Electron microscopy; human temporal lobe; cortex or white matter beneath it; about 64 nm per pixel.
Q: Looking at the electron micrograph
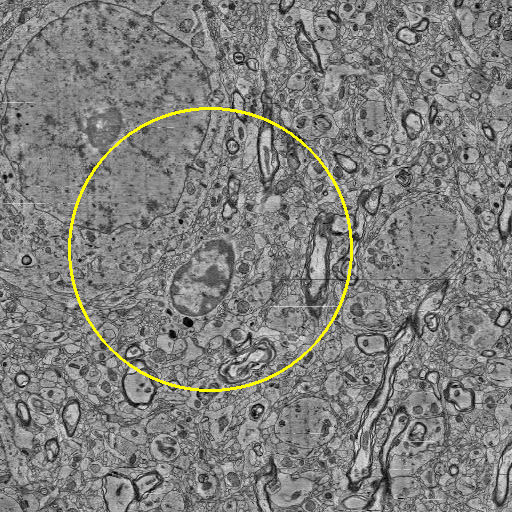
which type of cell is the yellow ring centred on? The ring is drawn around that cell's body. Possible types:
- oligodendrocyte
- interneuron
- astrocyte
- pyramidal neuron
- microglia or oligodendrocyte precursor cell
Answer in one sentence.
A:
The yellow ring is centred on a microglial cell or oligodendrocyte precursor cell.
